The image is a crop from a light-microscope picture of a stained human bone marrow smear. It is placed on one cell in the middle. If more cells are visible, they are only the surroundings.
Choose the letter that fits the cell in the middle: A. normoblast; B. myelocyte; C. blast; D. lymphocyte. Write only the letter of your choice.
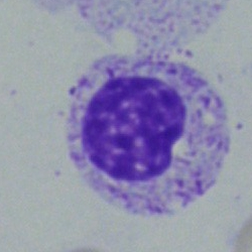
B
